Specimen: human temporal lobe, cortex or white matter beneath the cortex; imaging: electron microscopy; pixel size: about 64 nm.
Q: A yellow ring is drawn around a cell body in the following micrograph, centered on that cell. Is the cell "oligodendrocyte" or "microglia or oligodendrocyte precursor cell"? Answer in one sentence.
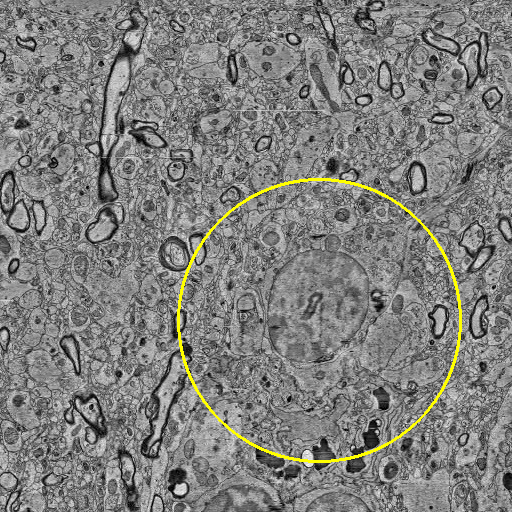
The cell in the center of the ring is an oligodendrocyte.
